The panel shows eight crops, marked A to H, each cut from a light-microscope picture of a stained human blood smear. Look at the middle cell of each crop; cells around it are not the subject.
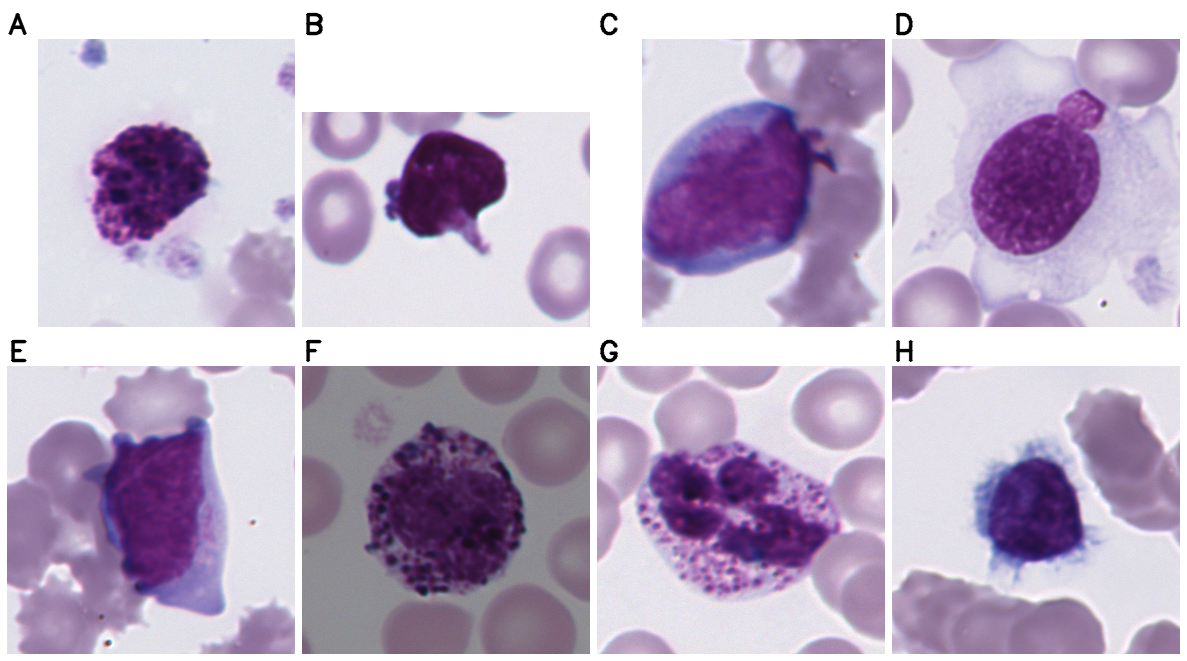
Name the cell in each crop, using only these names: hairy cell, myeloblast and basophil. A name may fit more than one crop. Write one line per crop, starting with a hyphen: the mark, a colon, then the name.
- A: basophil
- B: myeloblast
- C: myeloblast
- D: hairy cell
- E: myeloblast
- F: basophil
- G: basophil
- H: hairy cell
